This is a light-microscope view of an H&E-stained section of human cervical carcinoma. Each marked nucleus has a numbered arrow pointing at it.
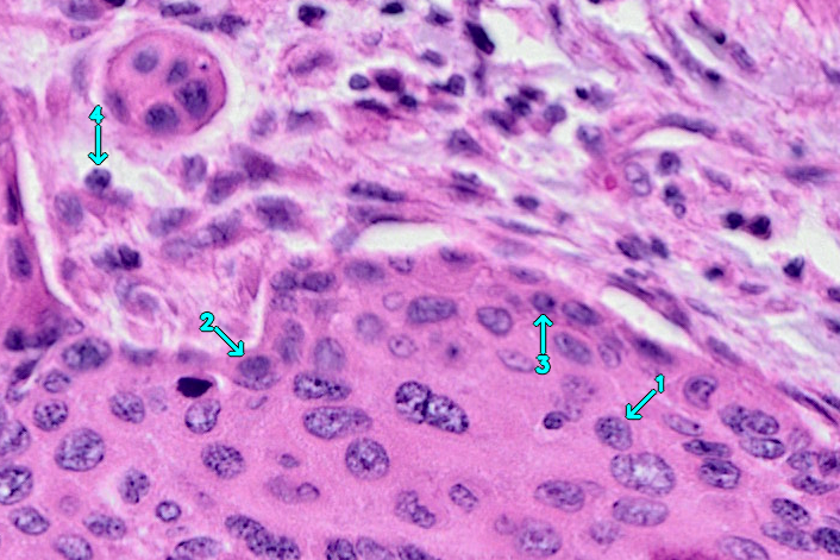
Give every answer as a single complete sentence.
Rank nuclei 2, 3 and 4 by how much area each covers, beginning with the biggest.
By area, largest first, they run 2, 4, 3.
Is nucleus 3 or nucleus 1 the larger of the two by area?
At about 2 times the area of nucleus 3, nucleus 1 is the larger of the two.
